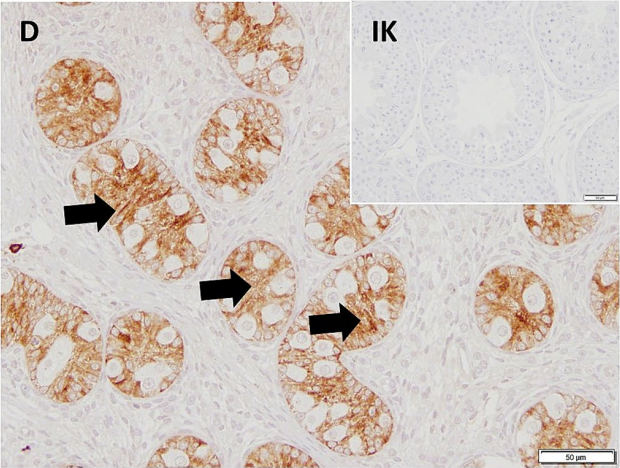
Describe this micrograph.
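This shows testicular cords in which the Sertoli cell cytoplasm is strongly stained brown, filling nearly every cord. The cords are small and round to elongated, without an open lumen, and the brown cytoplasm forms a meshwork around pale, round unstained spaces. Oval blue nuclei sit mostly toward the periphery of each cord. Between the cords lies loose interstitial tissue with scattered spindle-shaped cells and blue nuclei that stay unstained. The small inset shows larger tubules with a lumen and layered cells that remain entirely pale.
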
